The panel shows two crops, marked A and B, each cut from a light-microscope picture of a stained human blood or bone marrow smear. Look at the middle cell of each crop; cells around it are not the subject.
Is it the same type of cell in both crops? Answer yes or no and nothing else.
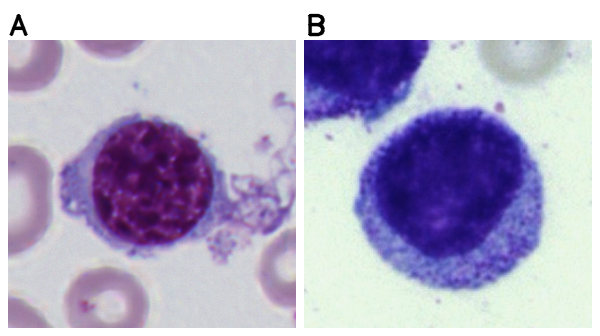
no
